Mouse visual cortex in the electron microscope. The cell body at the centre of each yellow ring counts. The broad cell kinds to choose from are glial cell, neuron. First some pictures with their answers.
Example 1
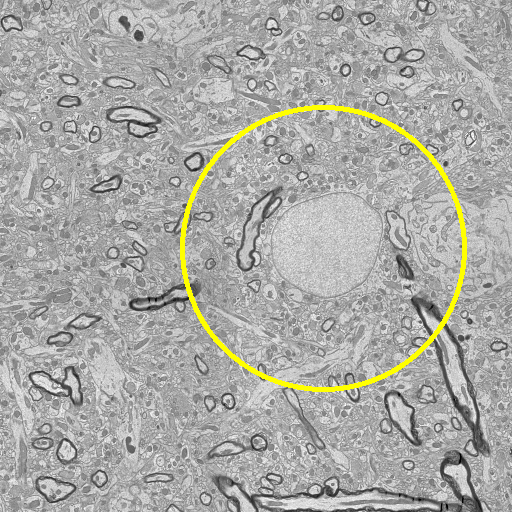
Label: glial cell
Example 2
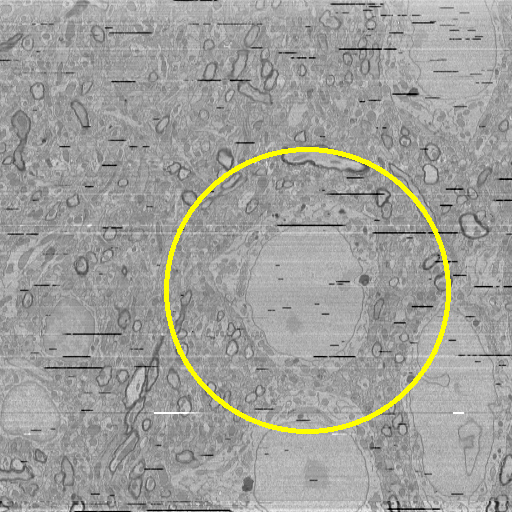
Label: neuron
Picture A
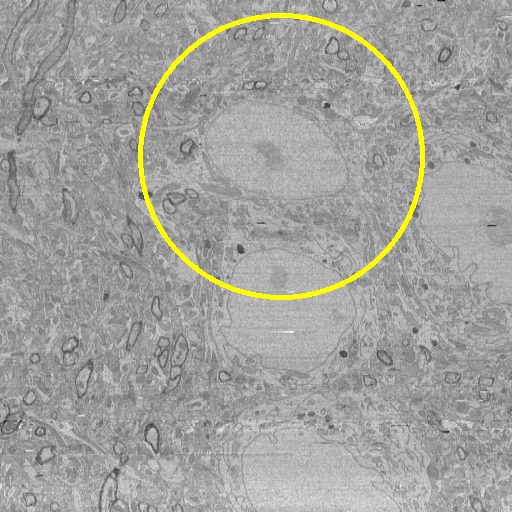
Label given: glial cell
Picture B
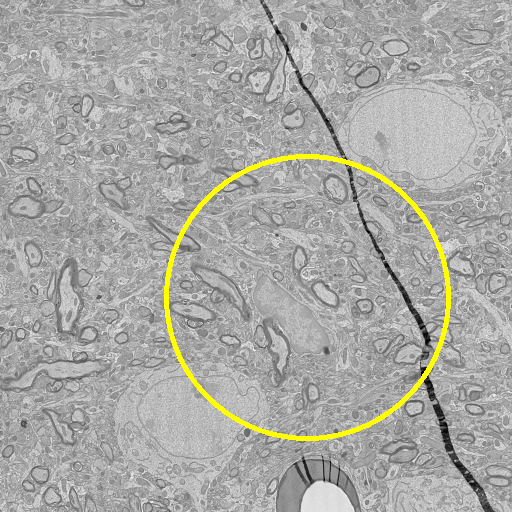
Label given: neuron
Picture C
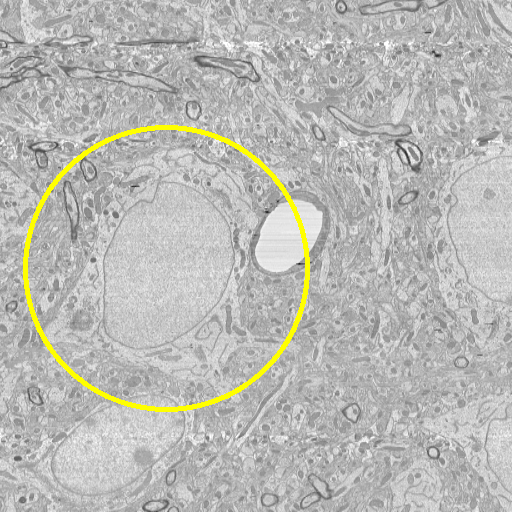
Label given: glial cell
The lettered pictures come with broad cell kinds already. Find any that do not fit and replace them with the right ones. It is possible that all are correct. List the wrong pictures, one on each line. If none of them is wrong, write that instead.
B: change neuron to glial cell
C: change glial cell to neuron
